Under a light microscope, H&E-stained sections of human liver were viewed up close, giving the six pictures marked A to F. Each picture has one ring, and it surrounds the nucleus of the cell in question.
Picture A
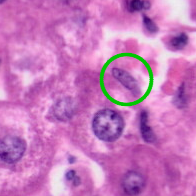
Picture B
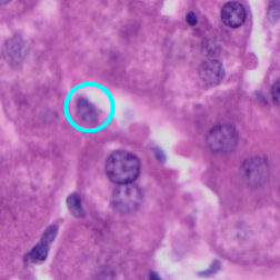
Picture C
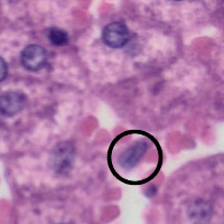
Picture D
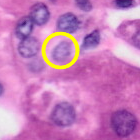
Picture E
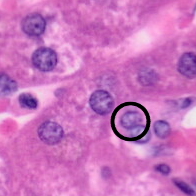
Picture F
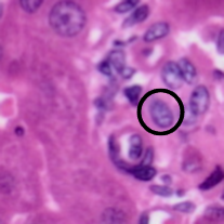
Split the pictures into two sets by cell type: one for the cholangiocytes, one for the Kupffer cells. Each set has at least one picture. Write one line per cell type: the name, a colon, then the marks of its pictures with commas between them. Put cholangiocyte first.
cholangiocyte: D, E, F
Kupffer cell: A, B, C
